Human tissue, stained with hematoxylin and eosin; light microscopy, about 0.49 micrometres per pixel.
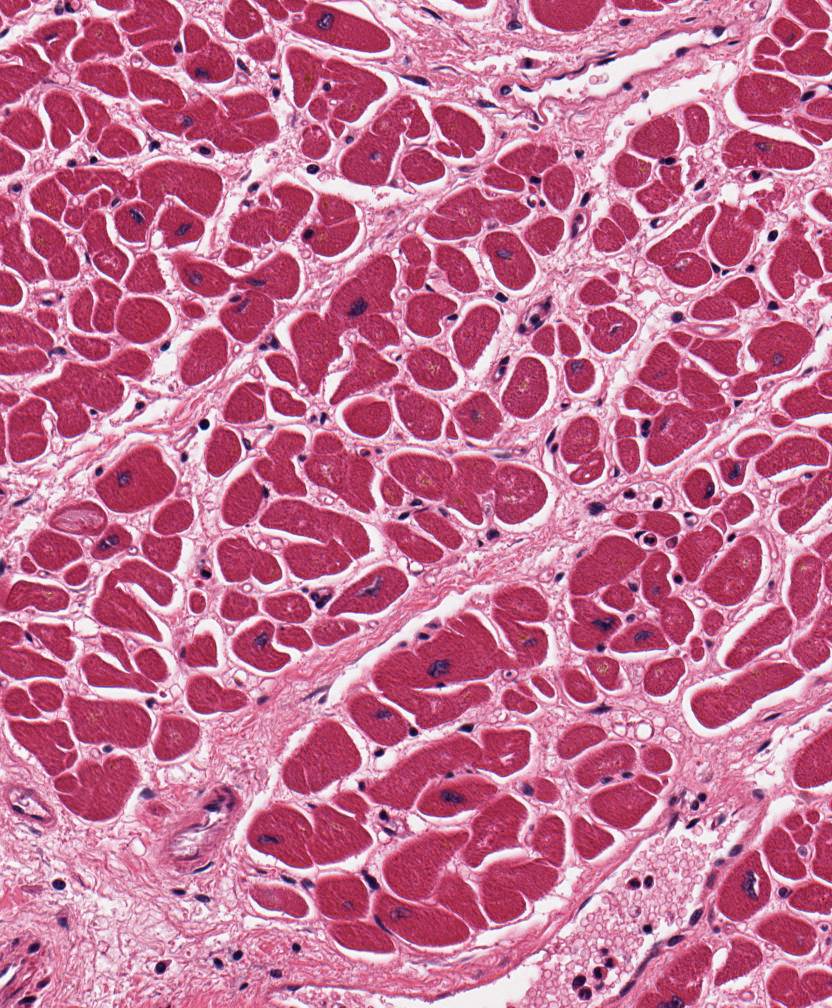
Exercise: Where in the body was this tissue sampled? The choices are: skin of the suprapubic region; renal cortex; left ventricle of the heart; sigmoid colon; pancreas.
left ventricle of the heart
